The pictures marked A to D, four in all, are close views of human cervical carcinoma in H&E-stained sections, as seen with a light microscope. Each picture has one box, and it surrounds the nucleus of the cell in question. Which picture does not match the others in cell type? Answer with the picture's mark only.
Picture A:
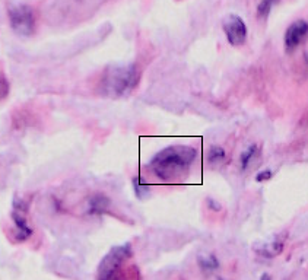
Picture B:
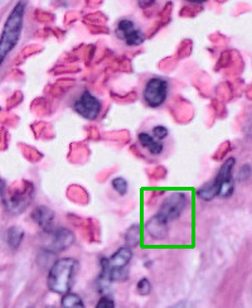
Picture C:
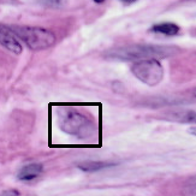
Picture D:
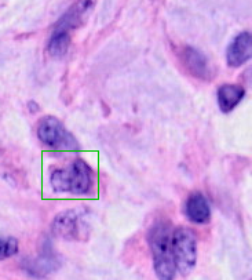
B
